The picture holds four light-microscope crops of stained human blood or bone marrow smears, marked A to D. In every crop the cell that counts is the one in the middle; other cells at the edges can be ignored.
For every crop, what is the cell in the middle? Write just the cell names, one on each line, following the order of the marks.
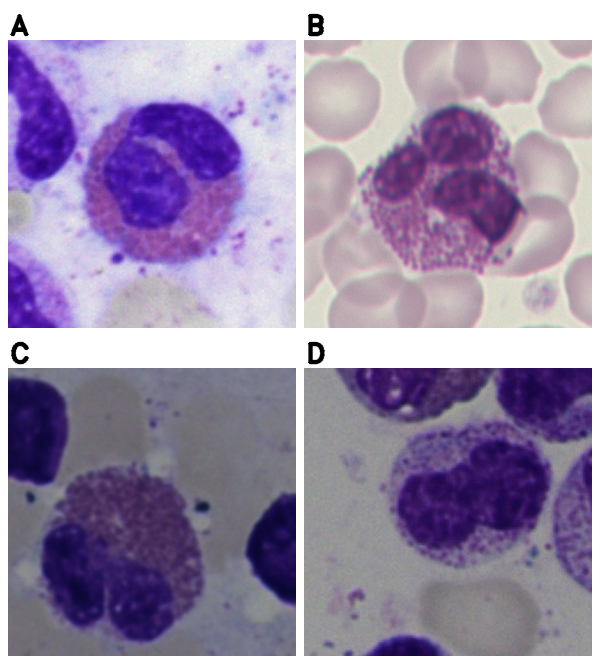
eosinophil
eosinophil
eosinophil
band neutrophil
